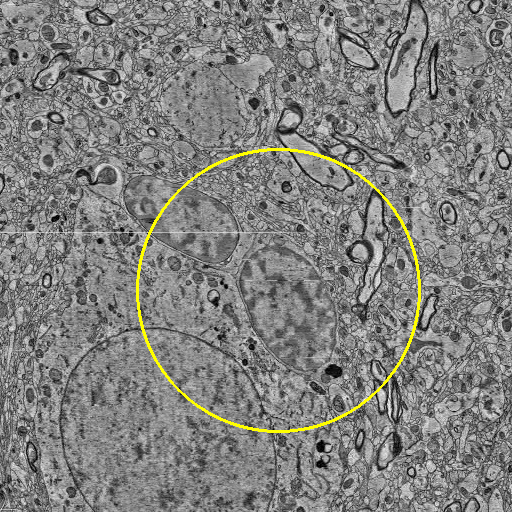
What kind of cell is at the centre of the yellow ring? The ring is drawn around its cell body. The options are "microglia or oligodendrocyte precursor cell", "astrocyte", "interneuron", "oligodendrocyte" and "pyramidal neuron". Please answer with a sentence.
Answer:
The yellow ring marks the cell body of an oligodendrocyte.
